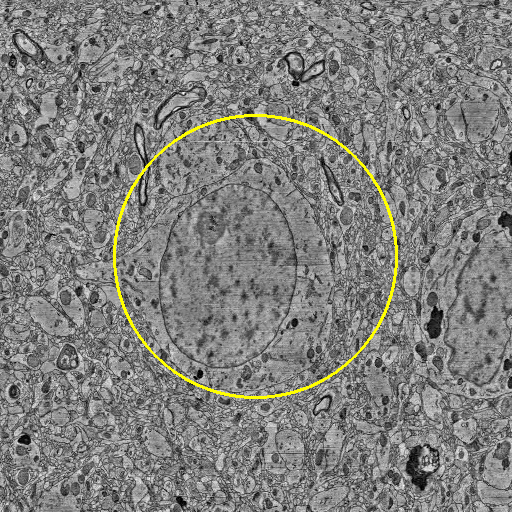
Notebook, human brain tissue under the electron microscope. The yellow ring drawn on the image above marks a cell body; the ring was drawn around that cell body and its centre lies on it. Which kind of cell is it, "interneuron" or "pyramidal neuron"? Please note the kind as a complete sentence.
The marked cell body is that of a pyramidal neuron.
